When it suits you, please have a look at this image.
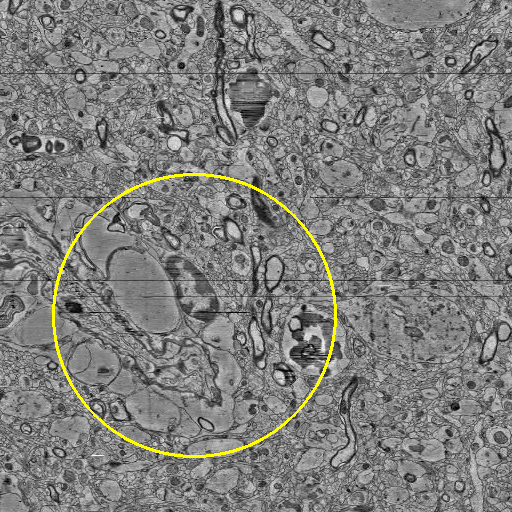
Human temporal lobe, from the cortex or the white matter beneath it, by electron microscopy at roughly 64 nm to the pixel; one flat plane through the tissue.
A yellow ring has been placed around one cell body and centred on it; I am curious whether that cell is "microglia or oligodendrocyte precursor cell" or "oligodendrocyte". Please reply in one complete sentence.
The ringed cell, a microglial cell or oligodendrocyte precursor cell, has its body at the centre of the yellow ring.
